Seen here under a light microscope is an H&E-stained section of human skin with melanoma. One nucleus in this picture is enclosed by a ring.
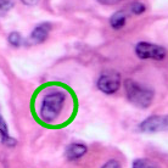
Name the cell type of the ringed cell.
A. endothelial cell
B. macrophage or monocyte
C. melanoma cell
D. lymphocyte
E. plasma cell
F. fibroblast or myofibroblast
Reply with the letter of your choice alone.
B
